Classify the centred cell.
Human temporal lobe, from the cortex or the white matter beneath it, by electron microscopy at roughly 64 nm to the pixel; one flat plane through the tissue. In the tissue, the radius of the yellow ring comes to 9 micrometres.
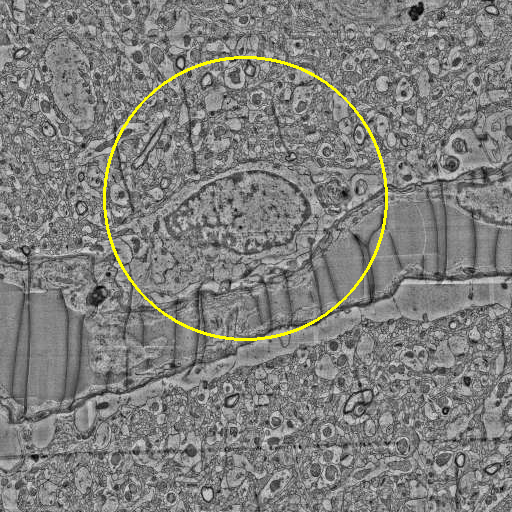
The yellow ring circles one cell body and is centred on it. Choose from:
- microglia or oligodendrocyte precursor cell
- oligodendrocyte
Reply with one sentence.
The ring is centred on a microglial cell or oligodendrocyte precursor cell.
